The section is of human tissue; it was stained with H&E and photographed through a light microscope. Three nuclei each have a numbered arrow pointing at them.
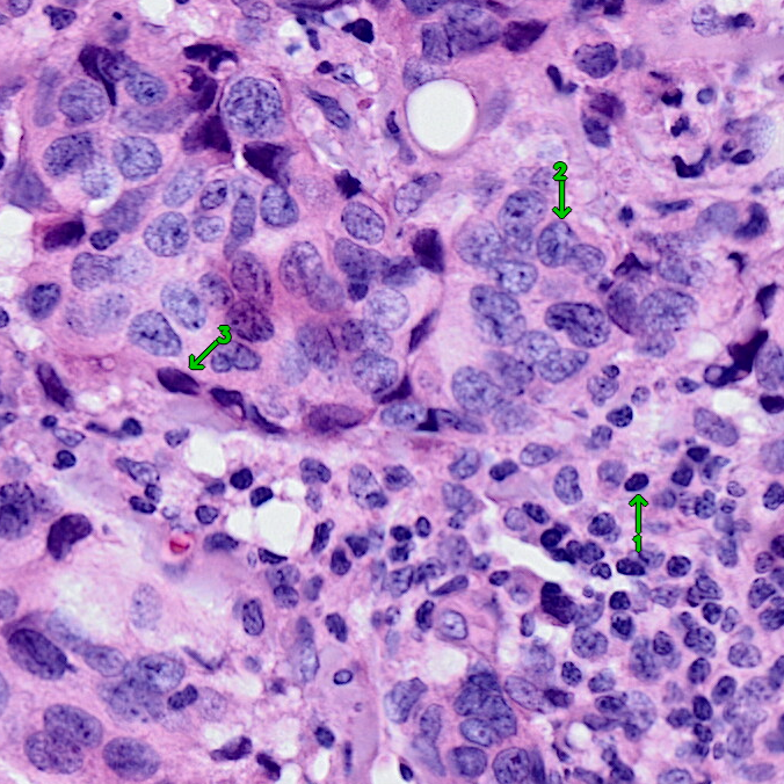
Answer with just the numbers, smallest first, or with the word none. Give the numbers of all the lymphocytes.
1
